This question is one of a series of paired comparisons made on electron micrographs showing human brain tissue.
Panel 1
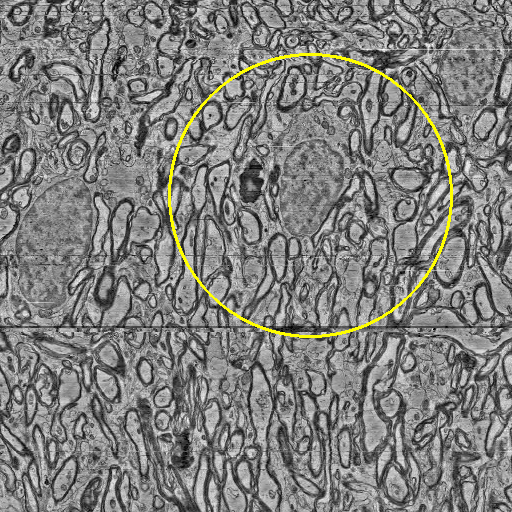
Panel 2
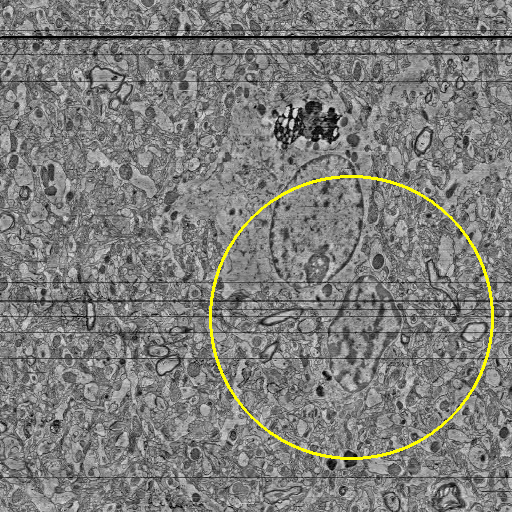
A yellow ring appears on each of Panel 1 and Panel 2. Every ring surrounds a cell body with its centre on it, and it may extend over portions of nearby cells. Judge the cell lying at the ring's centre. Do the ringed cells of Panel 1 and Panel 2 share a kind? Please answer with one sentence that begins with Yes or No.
No, the ring-centre cell in Panel 1 and the one in Panel 2 are of two kinds.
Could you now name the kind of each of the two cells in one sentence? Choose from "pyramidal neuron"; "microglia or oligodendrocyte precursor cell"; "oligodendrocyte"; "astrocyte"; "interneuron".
The first ring encloses an oligodendrocyte; the second ring encloses a microglial cell or oligodendrocyte precursor cell.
